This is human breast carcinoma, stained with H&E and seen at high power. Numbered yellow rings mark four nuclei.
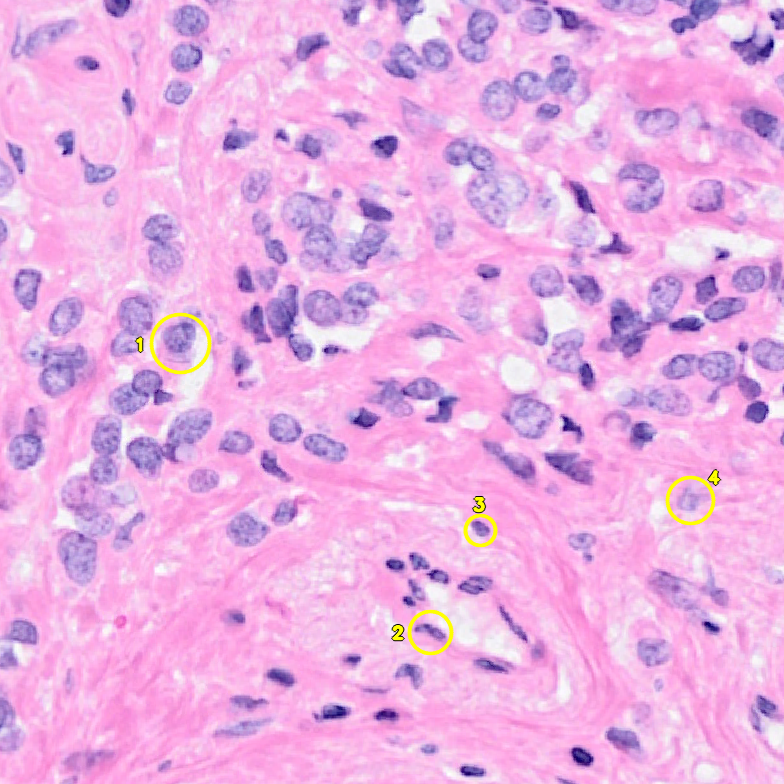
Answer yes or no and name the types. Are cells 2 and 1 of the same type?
No, the cell bearing number 2 is an endothelial cell, while the one bearing number 1 is a carcinoma cell.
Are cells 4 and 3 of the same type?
No, the cell at number 4 is a fibroblast, and the cell at number 3 is a lymphocyte.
